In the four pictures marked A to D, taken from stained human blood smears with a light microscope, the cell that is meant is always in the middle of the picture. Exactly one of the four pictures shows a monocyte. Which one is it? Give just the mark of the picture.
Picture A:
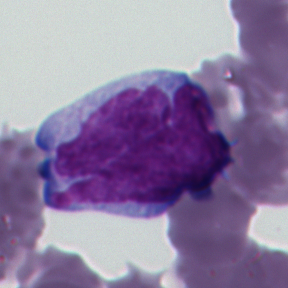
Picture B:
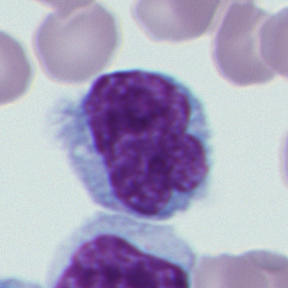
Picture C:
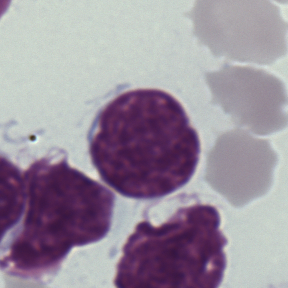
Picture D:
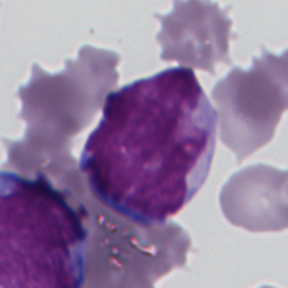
B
